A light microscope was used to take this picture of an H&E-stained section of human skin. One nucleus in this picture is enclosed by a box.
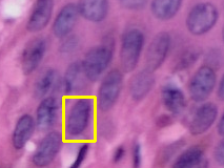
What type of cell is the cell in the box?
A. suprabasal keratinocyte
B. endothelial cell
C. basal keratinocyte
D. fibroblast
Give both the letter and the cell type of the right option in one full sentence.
The statement that the cell in the box is a basal keratinocyte corresponds to option C, the correct one.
